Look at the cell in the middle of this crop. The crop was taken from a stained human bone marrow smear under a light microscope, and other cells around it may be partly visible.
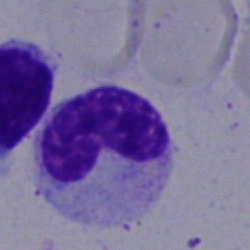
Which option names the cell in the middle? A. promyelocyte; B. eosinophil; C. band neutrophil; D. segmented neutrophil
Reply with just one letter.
C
